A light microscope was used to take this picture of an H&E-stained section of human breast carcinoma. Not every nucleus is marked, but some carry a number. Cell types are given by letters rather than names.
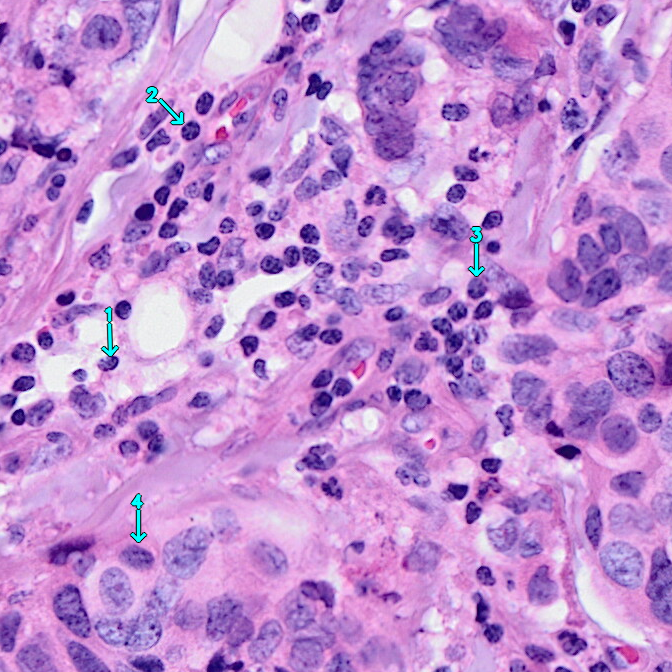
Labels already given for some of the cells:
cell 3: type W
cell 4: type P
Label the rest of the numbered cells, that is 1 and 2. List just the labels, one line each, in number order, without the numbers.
type W
type W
